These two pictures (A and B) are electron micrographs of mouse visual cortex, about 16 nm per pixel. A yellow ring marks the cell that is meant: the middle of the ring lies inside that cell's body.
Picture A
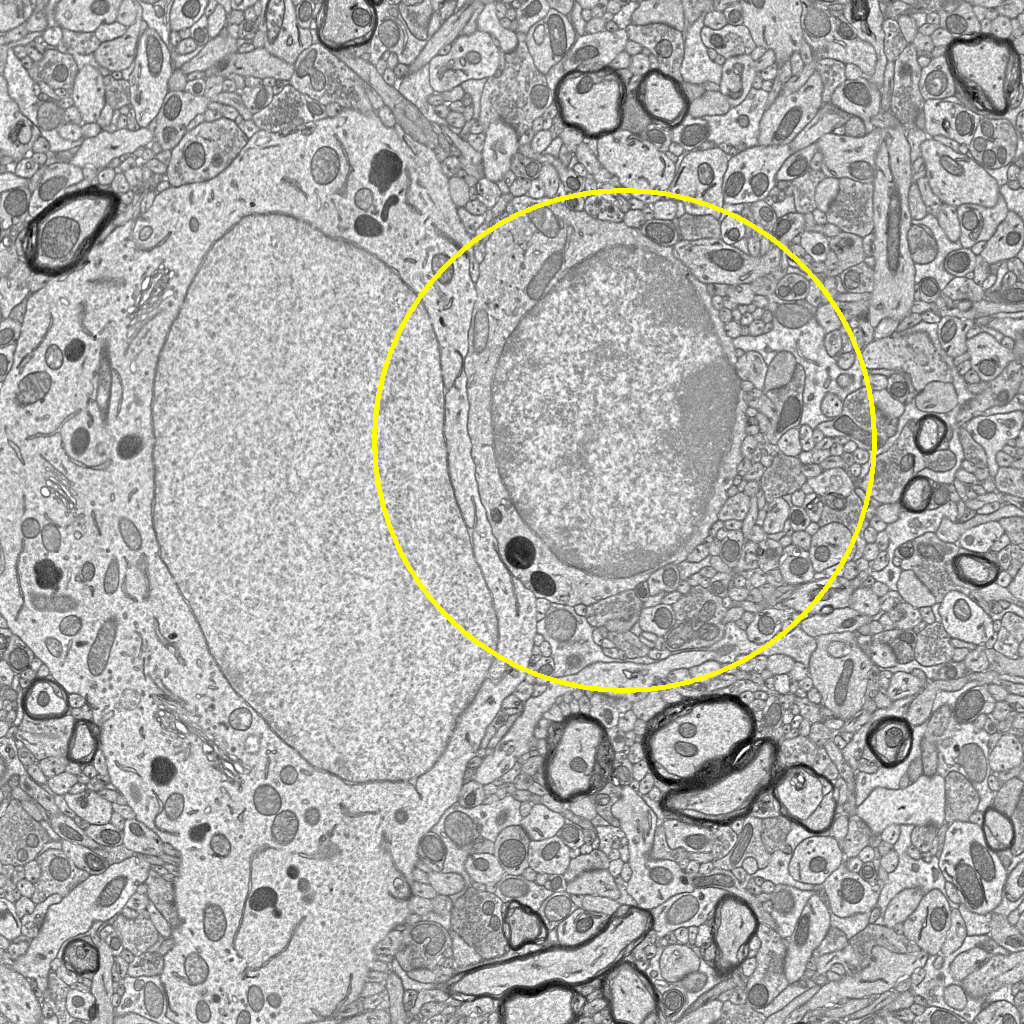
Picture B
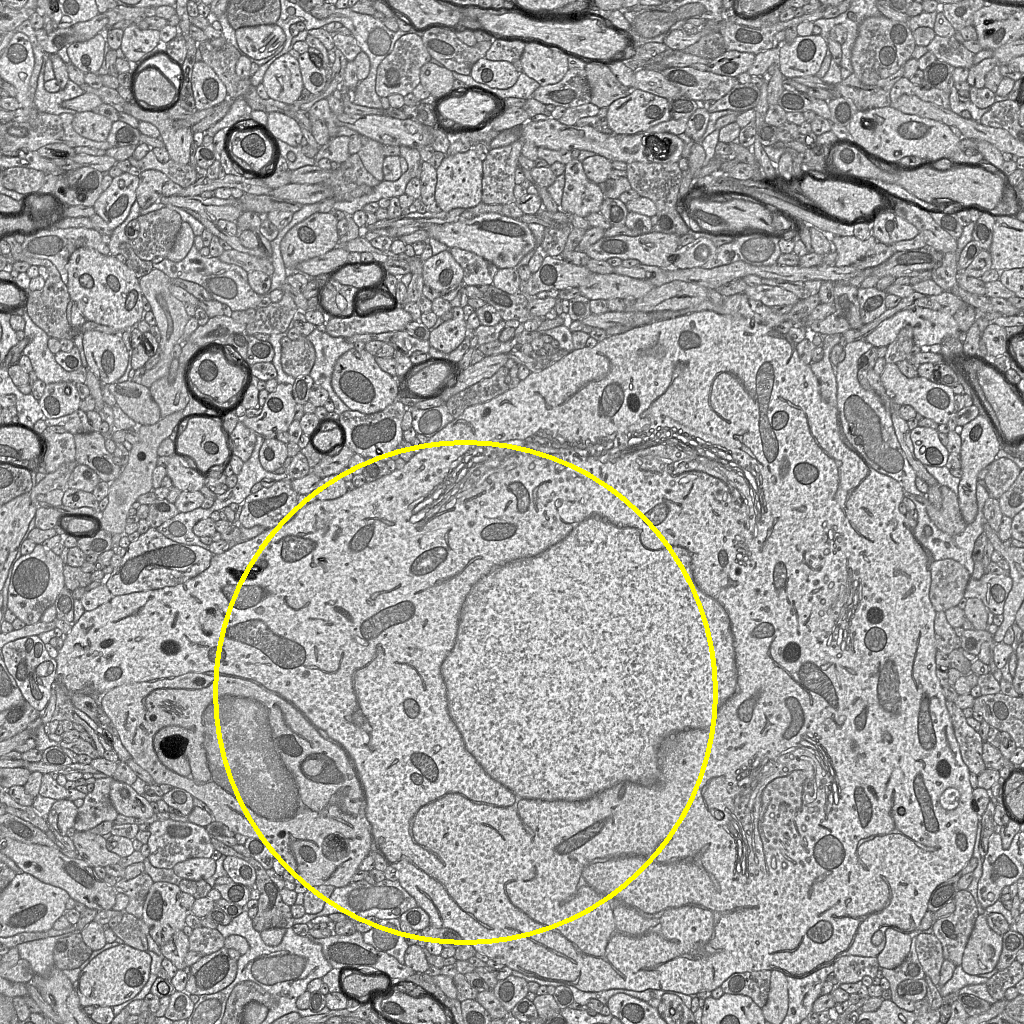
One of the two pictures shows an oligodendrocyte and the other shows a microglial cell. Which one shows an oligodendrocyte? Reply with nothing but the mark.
A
